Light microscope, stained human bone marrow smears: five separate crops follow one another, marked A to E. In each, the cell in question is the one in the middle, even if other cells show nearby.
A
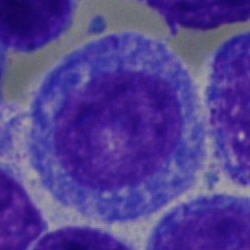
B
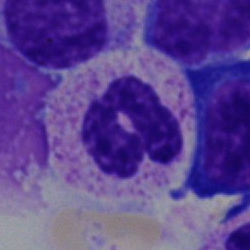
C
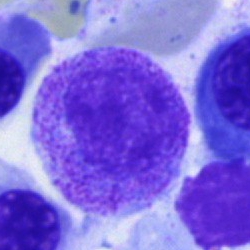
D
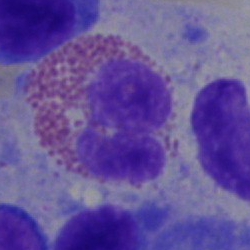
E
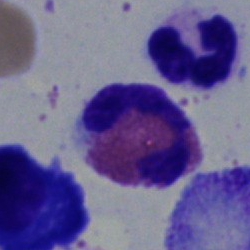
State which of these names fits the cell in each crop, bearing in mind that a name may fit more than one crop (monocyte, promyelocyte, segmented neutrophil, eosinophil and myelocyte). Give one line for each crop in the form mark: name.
A: promyelocyte
B: segmented neutrophil
C: myelocyte
D: eosinophil
E: eosinophil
